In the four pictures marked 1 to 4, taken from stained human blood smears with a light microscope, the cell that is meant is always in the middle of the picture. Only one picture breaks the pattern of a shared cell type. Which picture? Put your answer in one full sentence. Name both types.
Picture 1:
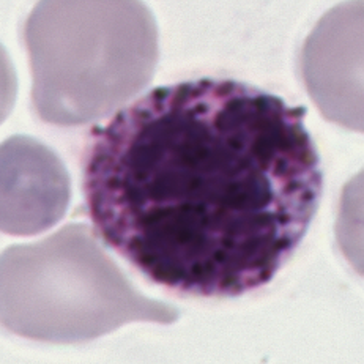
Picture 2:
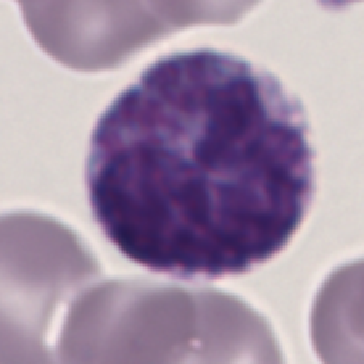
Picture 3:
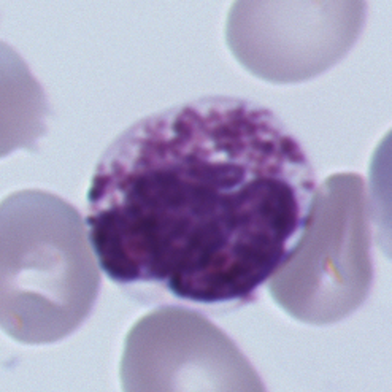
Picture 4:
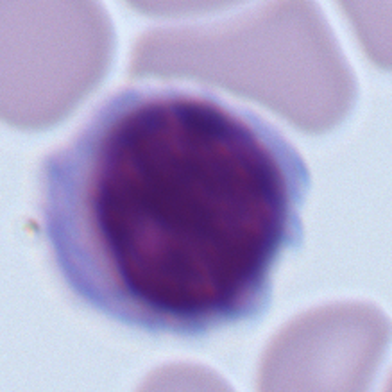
Unlike the rest, which show basophils, picture 4 shows a typical lymphocyte.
